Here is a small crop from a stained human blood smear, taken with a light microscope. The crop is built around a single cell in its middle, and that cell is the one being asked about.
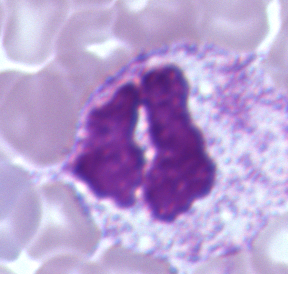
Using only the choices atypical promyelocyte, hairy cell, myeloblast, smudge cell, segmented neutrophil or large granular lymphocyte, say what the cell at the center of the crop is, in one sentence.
Occupying the centre of the crop is a segmented neutrophil.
